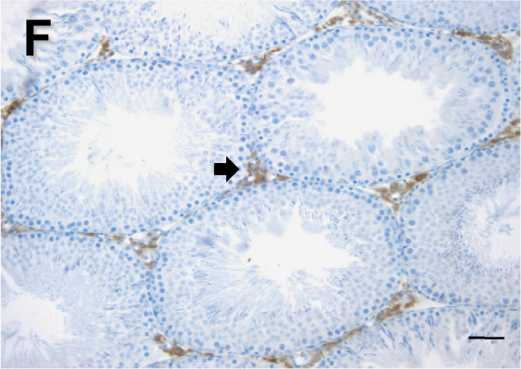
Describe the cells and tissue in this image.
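Cross-sectioned seminiferous tubules of the testis with brown-stained Leydig cells in the interstitial spaces between them. The brown cells form small clusters in the angular spaces where neighbouring tubules meet. The tubules have a layered germinal epithelium with blue nuclei and an open central lumen lined by spermatid tails. The tubule interiors carry no brown stain.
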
